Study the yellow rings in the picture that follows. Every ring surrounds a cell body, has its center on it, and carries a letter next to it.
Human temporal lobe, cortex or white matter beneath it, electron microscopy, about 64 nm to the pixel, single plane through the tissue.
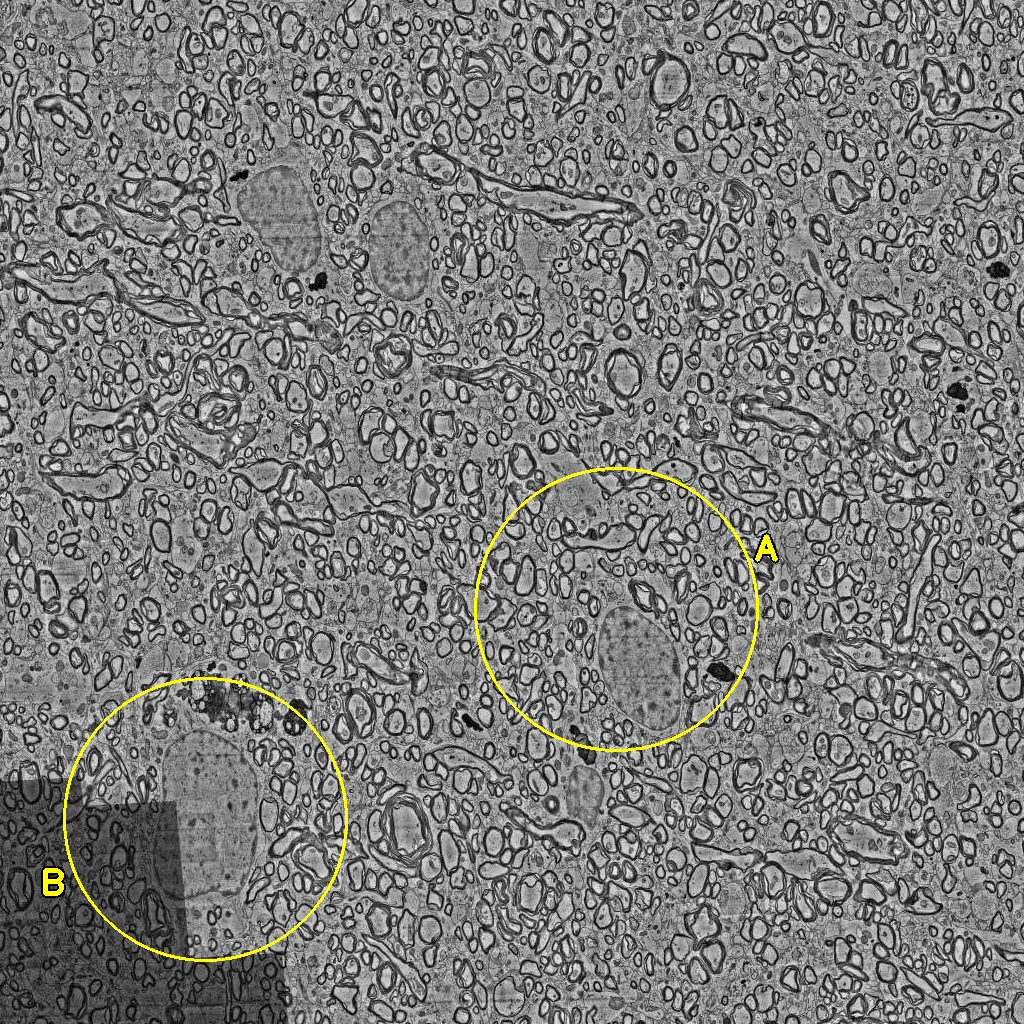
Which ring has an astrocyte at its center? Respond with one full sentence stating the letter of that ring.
The ring centered on the cell asked for carries the letter B.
